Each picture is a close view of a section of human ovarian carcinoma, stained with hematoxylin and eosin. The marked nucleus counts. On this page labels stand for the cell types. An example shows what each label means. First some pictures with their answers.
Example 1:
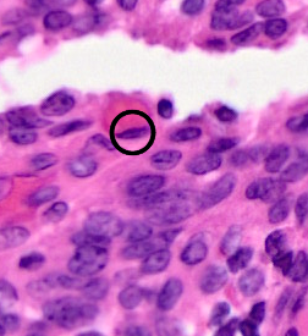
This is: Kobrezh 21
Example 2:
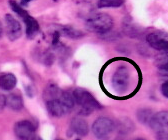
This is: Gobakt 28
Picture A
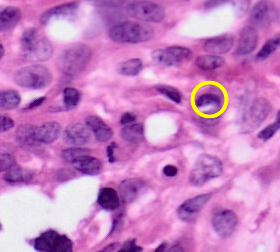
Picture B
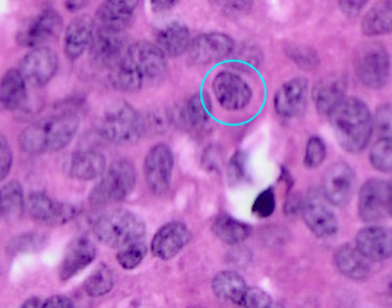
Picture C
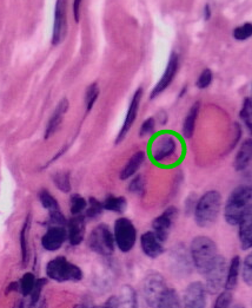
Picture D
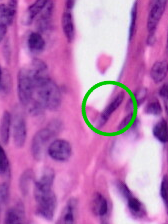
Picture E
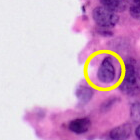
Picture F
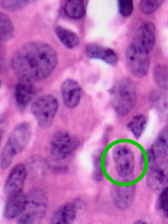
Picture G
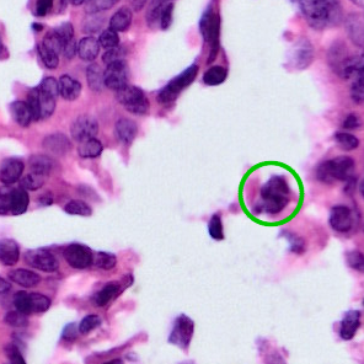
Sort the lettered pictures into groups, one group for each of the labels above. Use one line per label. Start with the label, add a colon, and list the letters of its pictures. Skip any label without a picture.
Kobrezh 21: A, C, D
Gobakt 28: B, E, F, G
